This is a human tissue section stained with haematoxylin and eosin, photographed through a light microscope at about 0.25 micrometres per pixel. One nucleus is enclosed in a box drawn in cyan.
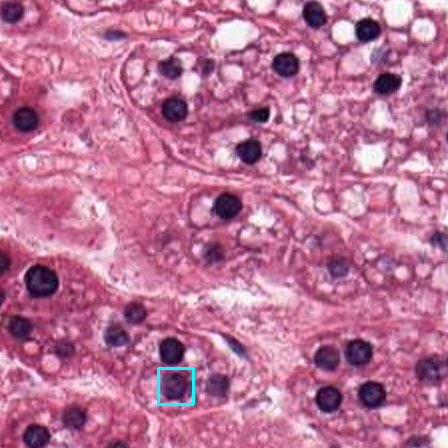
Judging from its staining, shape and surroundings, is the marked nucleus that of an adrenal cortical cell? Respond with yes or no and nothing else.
yes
